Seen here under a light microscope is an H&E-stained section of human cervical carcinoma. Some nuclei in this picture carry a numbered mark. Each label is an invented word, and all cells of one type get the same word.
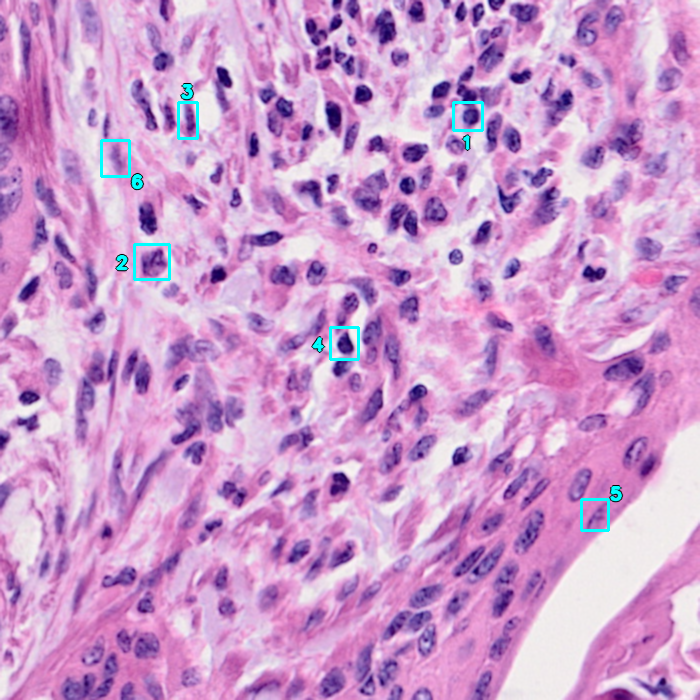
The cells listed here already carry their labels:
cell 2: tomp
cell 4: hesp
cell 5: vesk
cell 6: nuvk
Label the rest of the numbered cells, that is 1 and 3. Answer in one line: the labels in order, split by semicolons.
hesp; nuvk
